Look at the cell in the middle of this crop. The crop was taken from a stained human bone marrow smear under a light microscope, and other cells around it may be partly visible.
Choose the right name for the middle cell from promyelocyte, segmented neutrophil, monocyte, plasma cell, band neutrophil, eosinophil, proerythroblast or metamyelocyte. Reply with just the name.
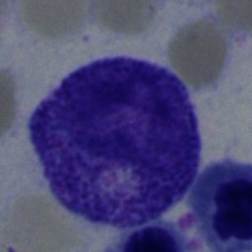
promyelocyte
